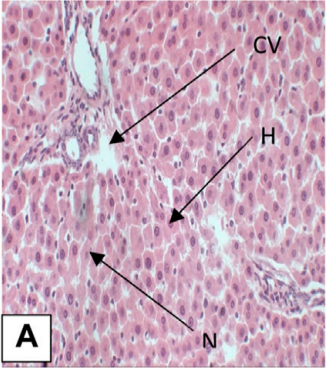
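Liver parenchyma made of hepatocytes arranged in cords around small vessels with clear lumens. The hepatocytes are polygonal with pink cytoplasm and a single round, centrally placed, dark-staining nucleus. Narrow pale sinusoidal spaces separate the cell cords. Near the vessels at upper left, small dark elongated nuclei of connective tissue cells are clustered.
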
